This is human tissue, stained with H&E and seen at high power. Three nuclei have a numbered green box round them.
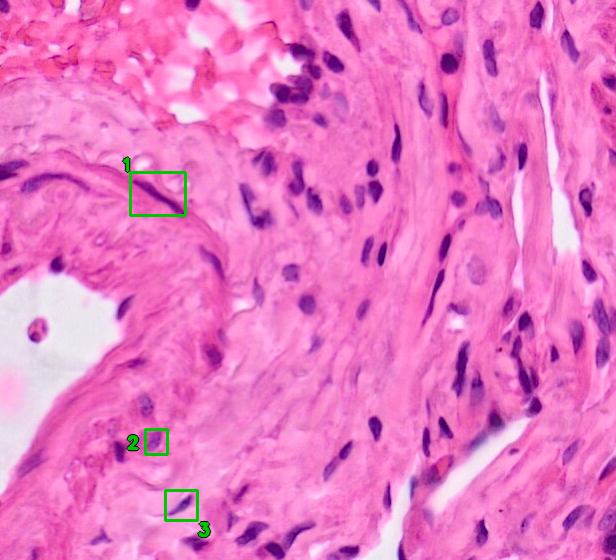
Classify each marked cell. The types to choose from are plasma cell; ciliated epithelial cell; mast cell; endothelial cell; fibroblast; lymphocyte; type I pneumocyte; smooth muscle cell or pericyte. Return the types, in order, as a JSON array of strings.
["smooth muscle cell or pericyte", "smooth muscle cell or pericyte", "fibroblast"]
